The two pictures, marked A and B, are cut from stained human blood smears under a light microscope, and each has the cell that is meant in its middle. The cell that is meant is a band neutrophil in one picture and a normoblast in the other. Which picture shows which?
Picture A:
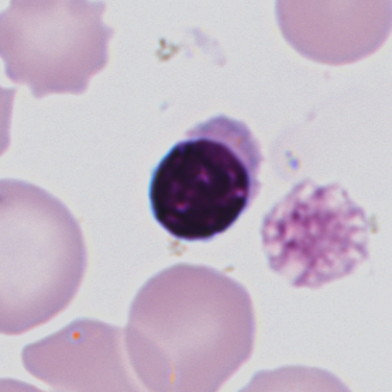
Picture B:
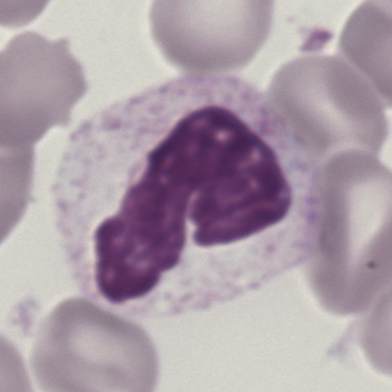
A: normoblast
B: band neutrophil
